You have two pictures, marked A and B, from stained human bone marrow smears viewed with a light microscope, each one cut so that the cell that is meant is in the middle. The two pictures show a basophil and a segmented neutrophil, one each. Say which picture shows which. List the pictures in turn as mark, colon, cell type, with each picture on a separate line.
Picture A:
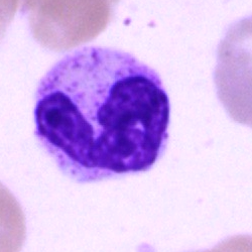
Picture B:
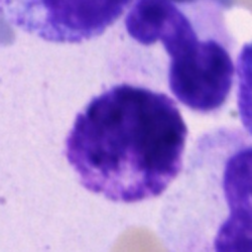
A: segmented neutrophil
B: basophil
